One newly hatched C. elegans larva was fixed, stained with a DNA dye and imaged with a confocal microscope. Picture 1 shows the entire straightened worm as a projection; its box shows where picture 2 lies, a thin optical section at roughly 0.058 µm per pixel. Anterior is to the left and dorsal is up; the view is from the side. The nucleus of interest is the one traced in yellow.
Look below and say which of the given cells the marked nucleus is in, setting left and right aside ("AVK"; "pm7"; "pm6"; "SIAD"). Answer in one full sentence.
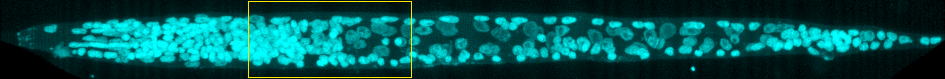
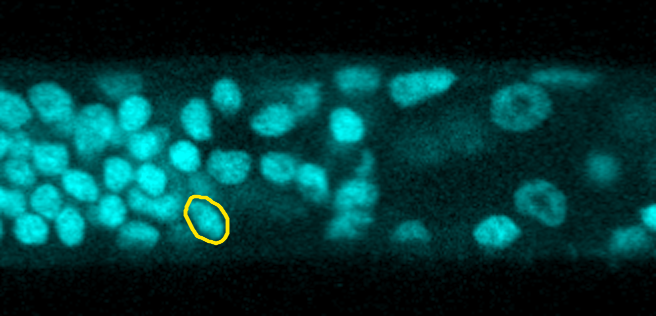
The marked nucleus belongs to AVK, a neuron.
